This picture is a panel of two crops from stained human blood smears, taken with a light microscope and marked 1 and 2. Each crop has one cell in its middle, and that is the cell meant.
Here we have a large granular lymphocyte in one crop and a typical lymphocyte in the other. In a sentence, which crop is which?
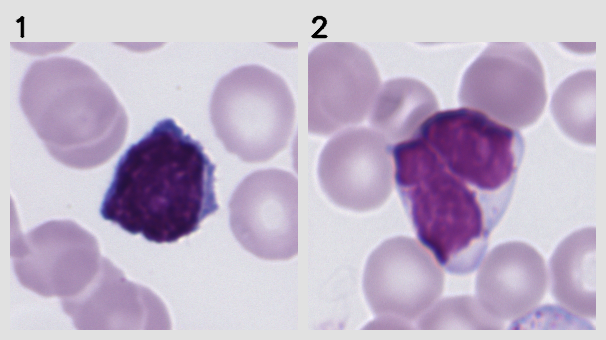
The middle of crop 1 is occupied by a typical lymphocyte, and the middle of crop 2 by a large granular lymphocyte.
